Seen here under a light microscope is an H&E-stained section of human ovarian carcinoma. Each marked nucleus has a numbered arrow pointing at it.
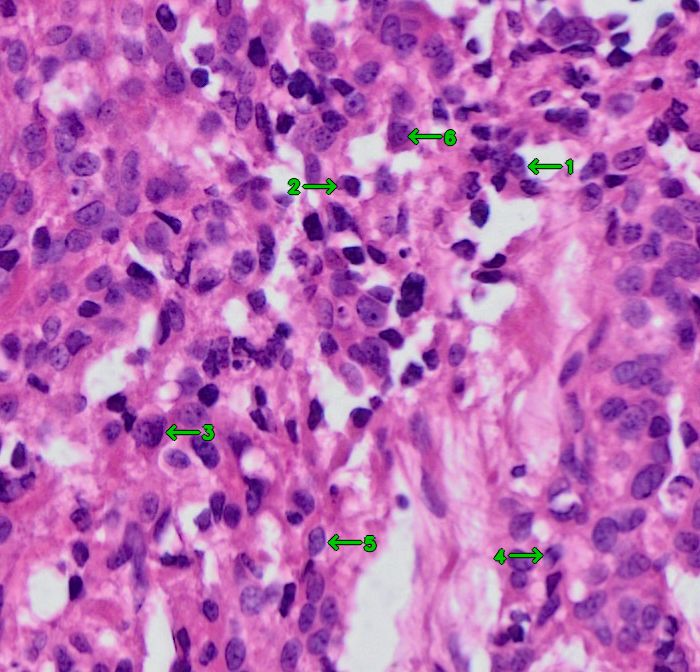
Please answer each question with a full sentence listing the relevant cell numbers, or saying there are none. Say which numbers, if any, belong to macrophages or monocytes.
The cells that the numbers 4 and 5 belong to are macrophages or monocytes.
